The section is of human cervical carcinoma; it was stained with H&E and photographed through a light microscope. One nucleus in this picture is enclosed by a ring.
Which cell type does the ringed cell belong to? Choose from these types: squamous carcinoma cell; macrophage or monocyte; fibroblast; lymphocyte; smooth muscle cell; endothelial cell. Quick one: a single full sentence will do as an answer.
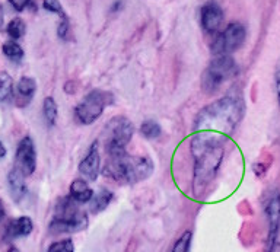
For cell typing purposes, the ringed cell is an endothelial cell.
